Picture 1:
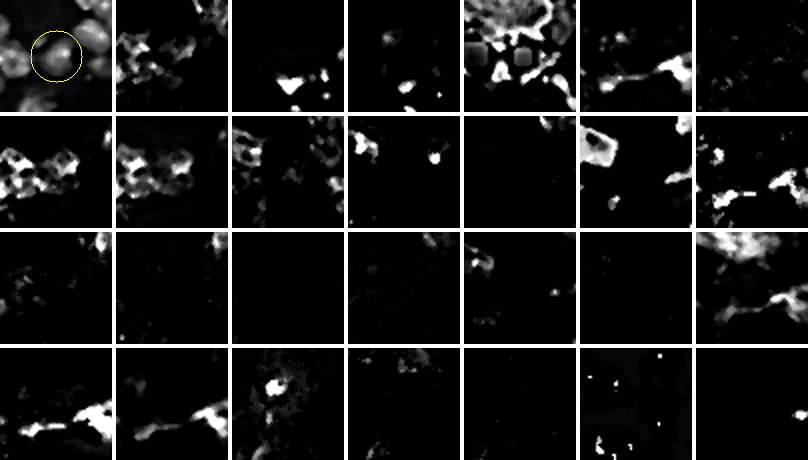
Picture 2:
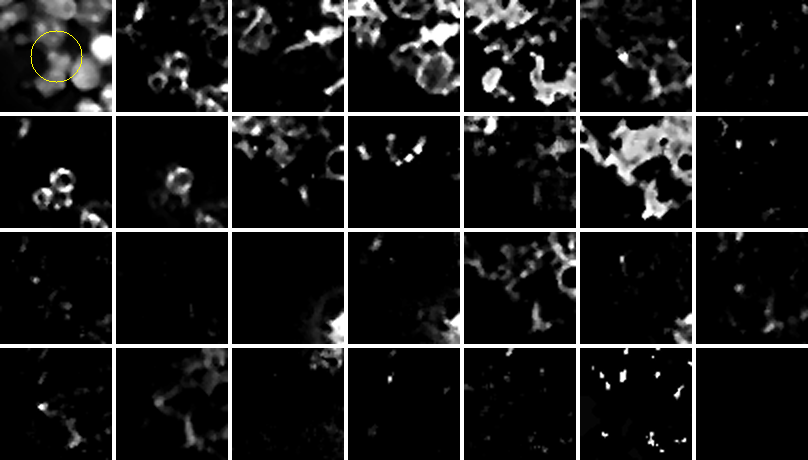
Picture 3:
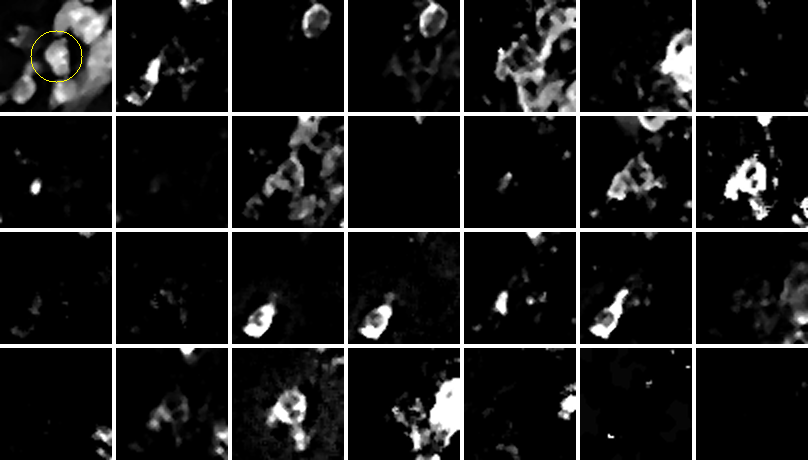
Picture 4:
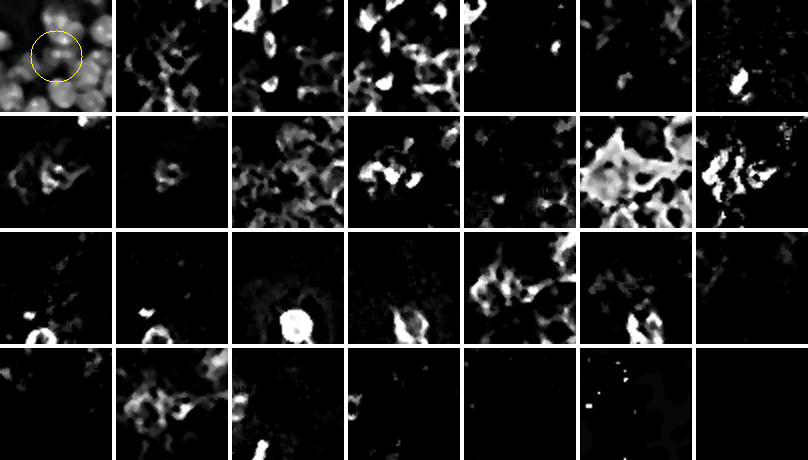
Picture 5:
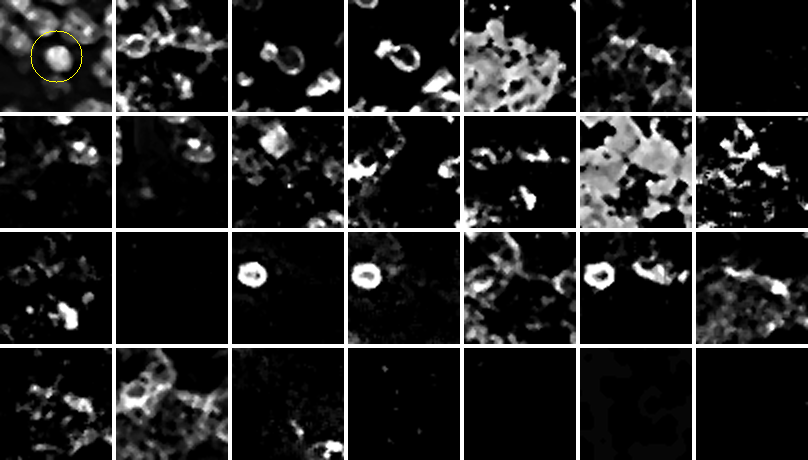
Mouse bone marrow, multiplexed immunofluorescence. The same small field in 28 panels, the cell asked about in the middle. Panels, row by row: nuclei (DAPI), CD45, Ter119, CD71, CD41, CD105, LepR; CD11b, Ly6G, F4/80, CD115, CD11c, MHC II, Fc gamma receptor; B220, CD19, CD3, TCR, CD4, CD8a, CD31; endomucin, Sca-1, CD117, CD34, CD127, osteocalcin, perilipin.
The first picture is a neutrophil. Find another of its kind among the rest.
Picture 2.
